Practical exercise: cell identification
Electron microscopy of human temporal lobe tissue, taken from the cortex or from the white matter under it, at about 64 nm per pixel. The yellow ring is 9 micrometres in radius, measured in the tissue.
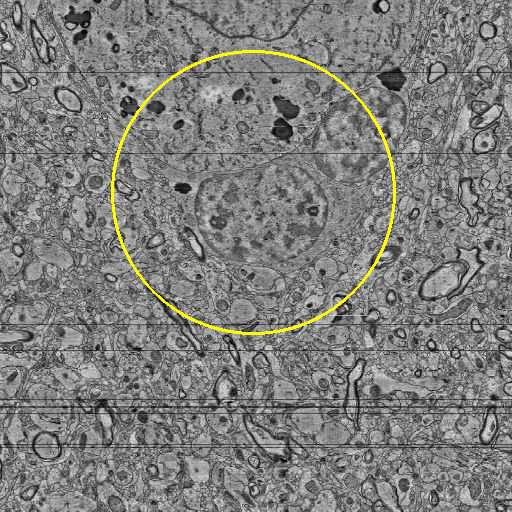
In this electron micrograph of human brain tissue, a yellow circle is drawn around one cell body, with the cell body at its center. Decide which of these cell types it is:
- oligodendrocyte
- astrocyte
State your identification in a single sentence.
The ringed cell is an oligodendrocyte.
